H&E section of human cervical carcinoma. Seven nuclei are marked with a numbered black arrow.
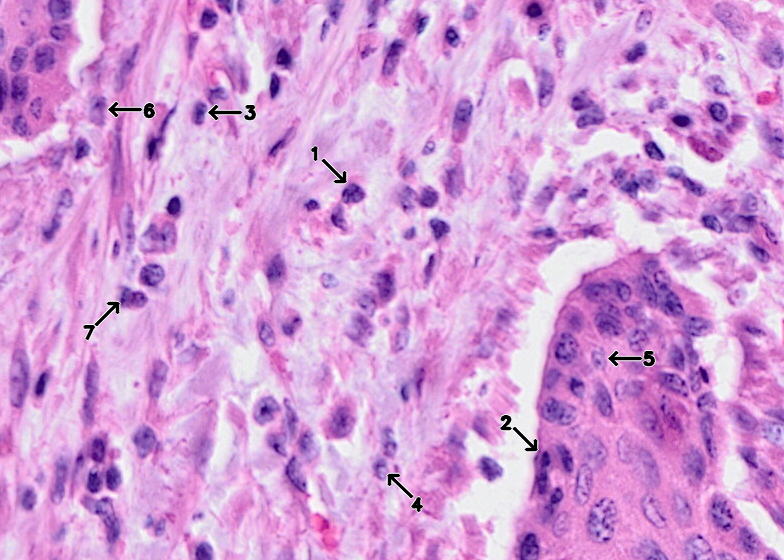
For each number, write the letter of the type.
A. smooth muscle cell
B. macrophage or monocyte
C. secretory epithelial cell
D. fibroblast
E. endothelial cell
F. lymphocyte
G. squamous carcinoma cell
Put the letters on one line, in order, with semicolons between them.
F; G; F; D; G; D; F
